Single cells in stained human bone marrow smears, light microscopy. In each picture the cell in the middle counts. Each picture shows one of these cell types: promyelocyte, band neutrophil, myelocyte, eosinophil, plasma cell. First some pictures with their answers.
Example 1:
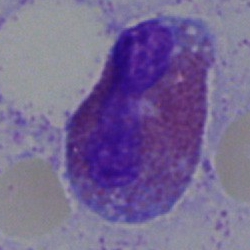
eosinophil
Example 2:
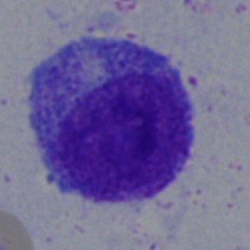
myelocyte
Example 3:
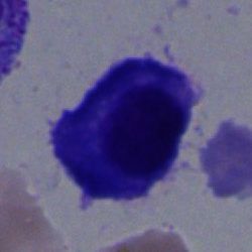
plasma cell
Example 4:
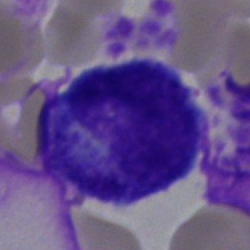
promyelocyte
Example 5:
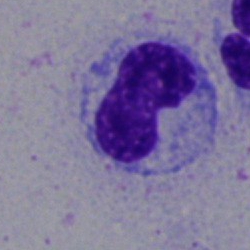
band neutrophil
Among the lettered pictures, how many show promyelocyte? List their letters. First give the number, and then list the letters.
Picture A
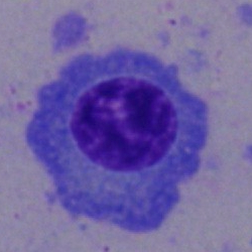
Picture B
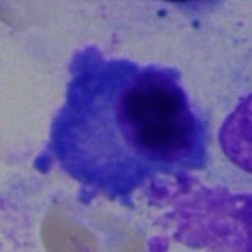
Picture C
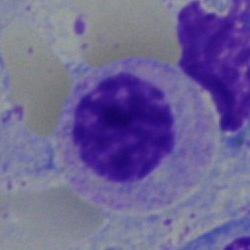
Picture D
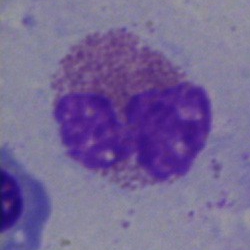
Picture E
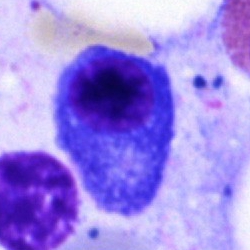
0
